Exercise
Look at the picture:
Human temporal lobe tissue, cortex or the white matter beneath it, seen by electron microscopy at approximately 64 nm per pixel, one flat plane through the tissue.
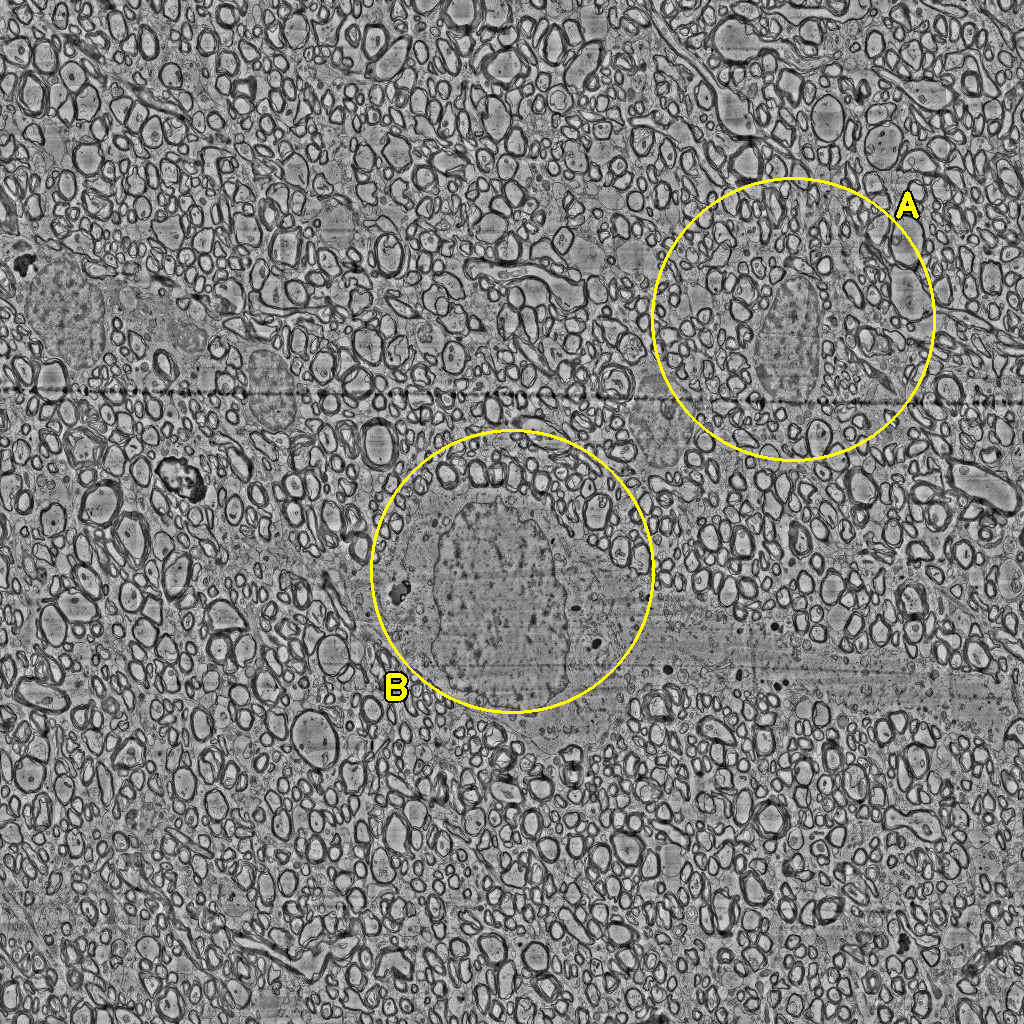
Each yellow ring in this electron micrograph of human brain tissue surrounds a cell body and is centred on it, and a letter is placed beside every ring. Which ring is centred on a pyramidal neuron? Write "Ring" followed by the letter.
Ring B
